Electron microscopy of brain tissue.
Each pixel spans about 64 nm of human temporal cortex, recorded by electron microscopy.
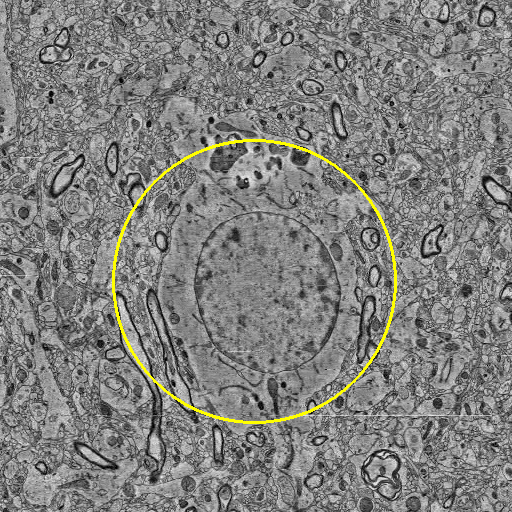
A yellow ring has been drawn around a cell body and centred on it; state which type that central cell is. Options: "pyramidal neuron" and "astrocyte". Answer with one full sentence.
The cell at the middle of the yellow ring is an astrocyte in this picture.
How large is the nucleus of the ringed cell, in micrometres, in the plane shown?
Roughly 11 micrometres by 9 micrometres, in this plane.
